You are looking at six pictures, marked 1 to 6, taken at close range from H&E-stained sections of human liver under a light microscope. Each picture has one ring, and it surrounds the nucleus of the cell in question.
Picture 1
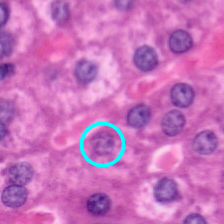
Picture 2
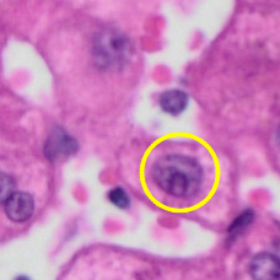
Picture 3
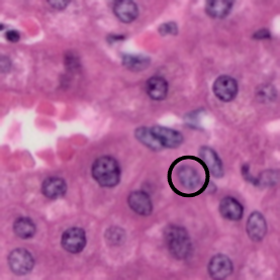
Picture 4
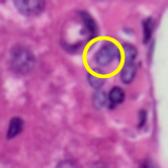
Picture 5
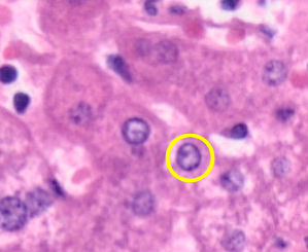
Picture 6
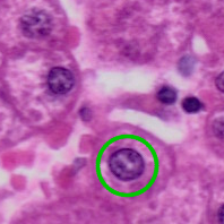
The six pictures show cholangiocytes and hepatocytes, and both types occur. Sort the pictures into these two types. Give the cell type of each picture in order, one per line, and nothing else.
hepatocyte
hepatocyte
cholangiocyte
cholangiocyte
hepatocyte
hepatocyte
